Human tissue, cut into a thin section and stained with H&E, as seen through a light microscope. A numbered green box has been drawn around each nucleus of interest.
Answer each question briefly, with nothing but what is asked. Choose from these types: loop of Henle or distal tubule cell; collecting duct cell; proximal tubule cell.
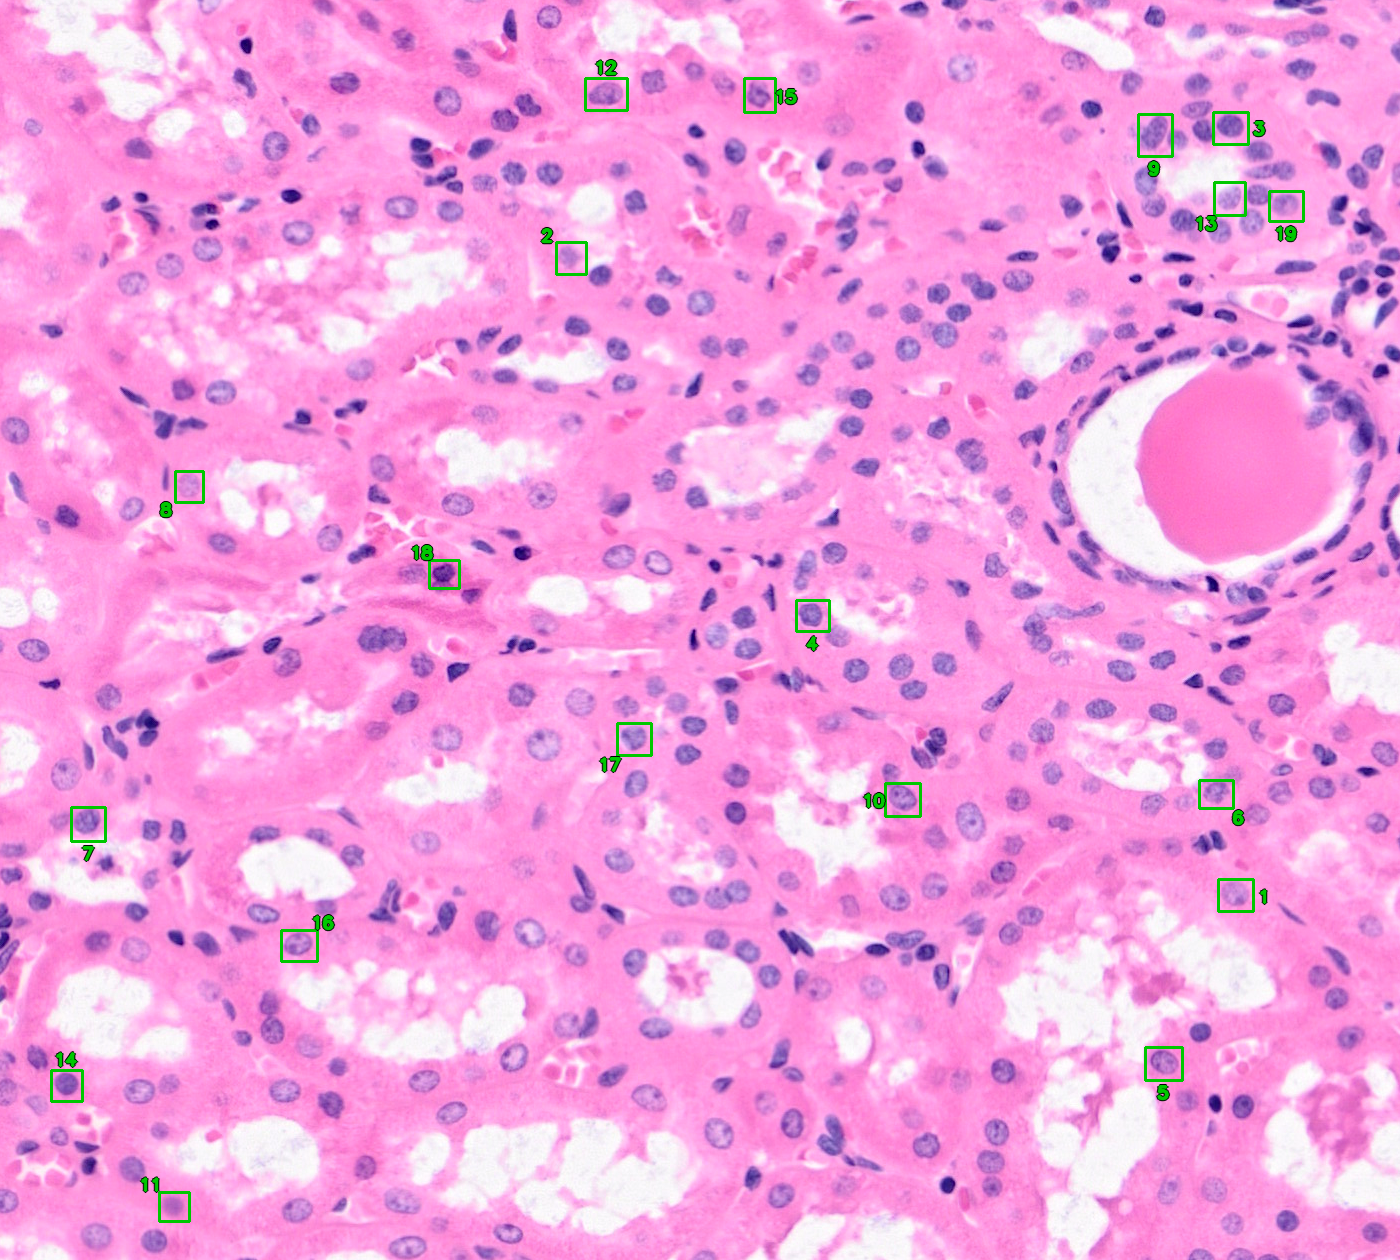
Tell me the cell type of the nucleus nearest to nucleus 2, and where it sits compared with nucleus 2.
a loop of Henle or distal tubule cell; below and to the right of nucleus 2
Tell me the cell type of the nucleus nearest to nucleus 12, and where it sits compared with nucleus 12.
a proximal tubule cell, to the right of nucleus 12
